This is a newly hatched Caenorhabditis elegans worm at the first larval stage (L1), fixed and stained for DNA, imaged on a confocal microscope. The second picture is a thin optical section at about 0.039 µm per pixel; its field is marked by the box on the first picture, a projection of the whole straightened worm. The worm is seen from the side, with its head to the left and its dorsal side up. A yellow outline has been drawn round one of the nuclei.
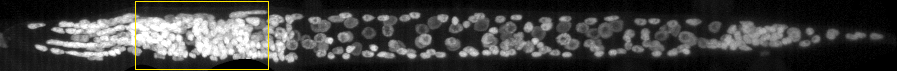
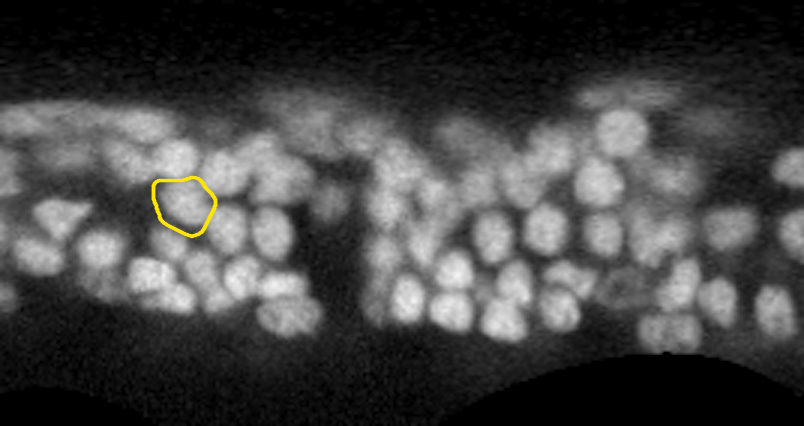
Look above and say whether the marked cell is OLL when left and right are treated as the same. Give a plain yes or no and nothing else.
yes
